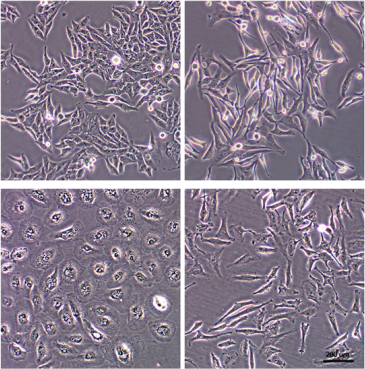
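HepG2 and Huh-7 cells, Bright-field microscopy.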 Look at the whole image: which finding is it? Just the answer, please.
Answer: Epithelial-mesenchymal transition.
